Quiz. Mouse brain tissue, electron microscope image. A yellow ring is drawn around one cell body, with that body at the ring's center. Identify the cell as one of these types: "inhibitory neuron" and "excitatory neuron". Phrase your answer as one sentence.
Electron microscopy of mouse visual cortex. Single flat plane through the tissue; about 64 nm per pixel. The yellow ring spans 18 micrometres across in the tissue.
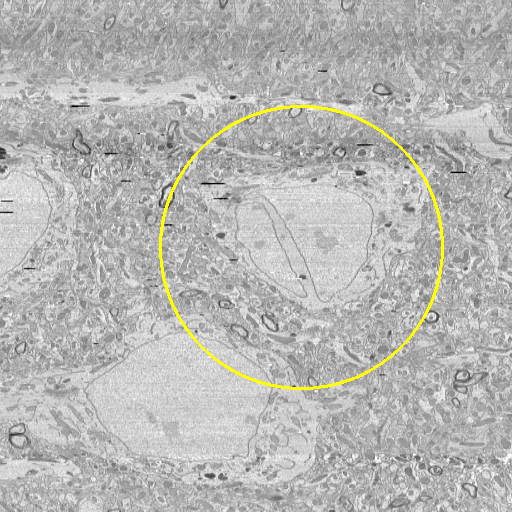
At the center of the ring sits an excitatory neuron.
